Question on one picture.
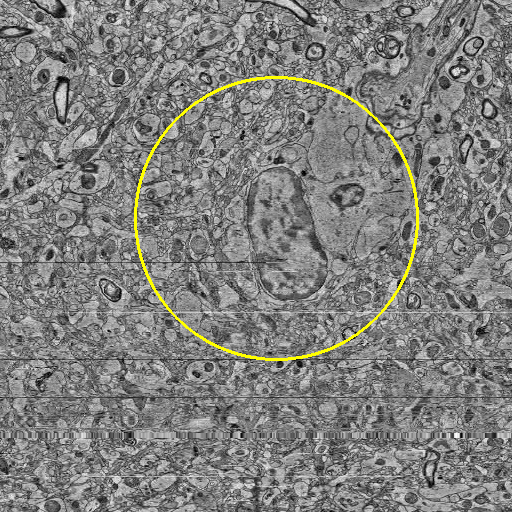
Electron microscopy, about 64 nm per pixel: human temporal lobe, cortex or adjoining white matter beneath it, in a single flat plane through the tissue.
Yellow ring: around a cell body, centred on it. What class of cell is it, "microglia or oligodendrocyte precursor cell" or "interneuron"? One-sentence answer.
This is a microglial cell or oligodendrocyte precursor cell, the cell the ring is centred on.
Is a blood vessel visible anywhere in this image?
Yes, there is one.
